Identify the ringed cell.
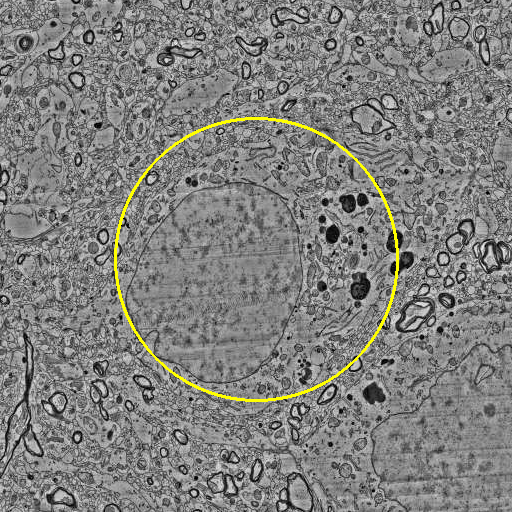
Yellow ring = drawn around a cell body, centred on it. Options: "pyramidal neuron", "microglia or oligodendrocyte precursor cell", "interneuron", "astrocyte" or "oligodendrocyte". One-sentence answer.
What the ring is centred on is an interneuron.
